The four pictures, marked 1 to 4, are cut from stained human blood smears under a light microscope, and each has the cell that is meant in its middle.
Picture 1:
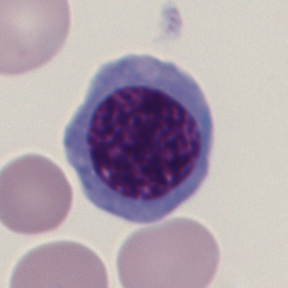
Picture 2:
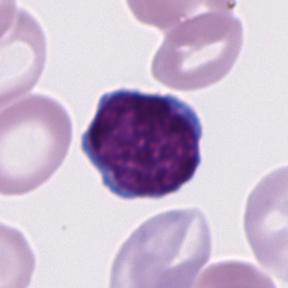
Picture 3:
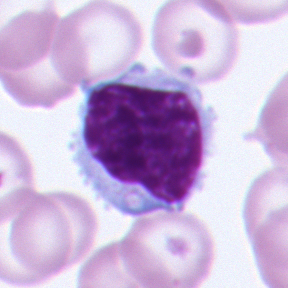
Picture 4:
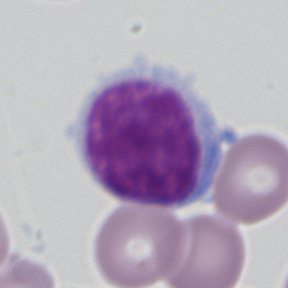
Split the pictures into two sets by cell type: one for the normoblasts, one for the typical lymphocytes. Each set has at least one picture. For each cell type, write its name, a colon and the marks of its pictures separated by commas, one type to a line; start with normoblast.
normoblast: 1
typical lymphocyte: 2, 3, 4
